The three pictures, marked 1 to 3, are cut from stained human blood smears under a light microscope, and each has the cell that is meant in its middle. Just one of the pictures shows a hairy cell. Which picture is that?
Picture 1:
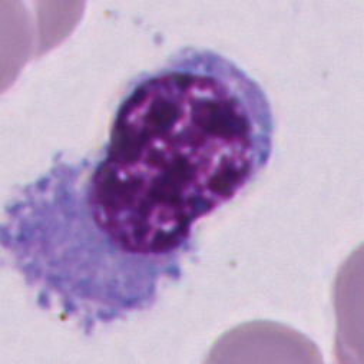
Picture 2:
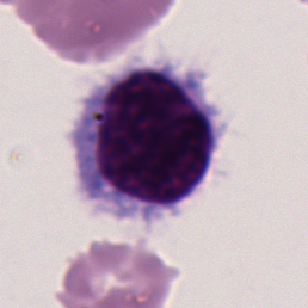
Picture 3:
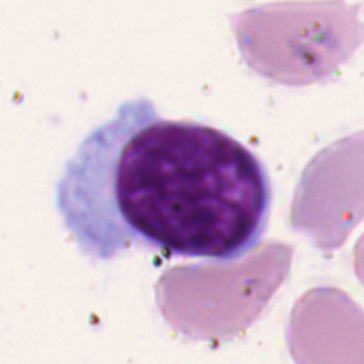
2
